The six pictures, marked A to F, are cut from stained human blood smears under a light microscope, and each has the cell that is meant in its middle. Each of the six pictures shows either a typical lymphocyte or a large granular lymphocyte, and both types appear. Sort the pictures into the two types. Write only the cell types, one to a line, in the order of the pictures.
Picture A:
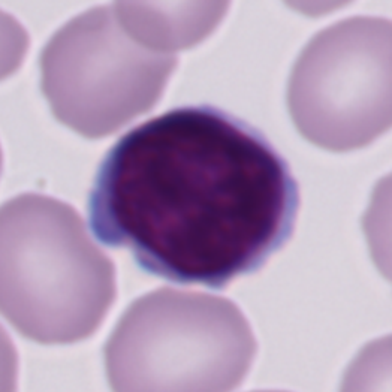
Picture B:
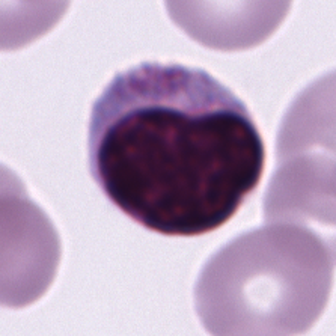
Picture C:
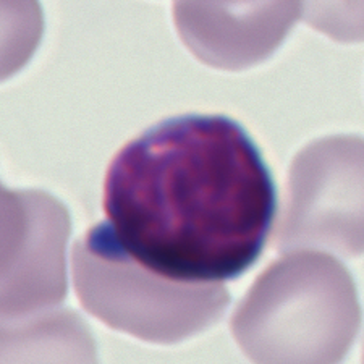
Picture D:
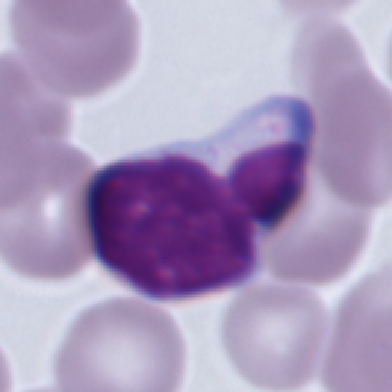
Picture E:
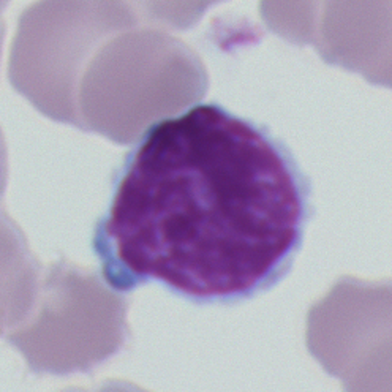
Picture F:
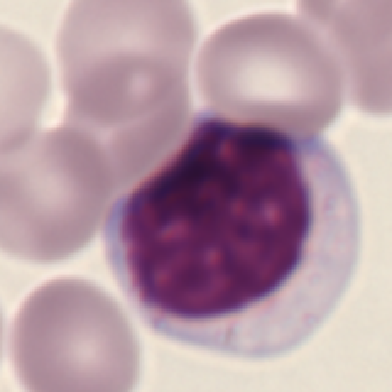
typical lymphocyte
large granular lymphocyte
typical lymphocyte
large granular lymphocyte
typical lymphocyte
large granular lymphocyte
